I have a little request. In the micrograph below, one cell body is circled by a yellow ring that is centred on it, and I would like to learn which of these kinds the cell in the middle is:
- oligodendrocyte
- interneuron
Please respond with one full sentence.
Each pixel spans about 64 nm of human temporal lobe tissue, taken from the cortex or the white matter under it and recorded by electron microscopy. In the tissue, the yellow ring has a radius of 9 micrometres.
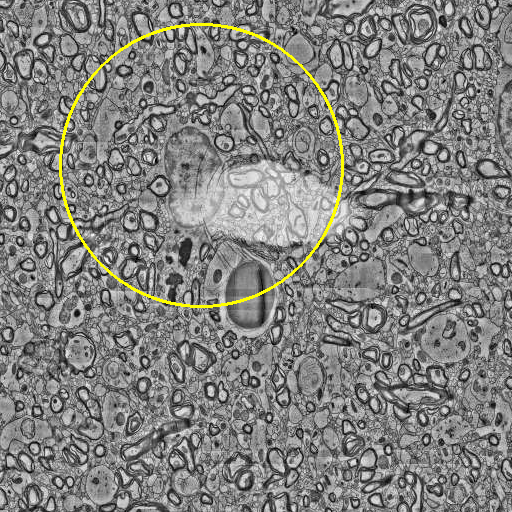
The cell sitting in the middle of the yellow ring in the micrograph is an oligodendrocyte.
